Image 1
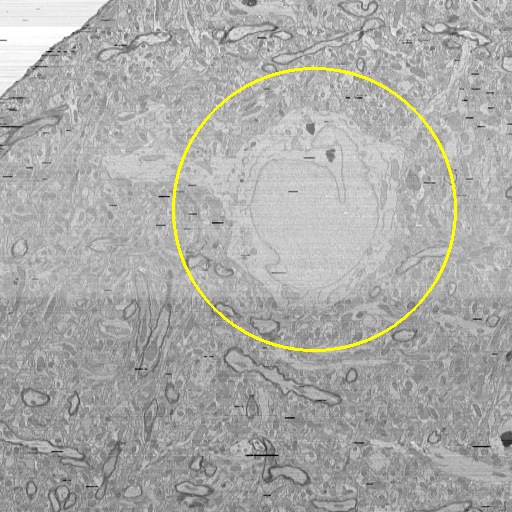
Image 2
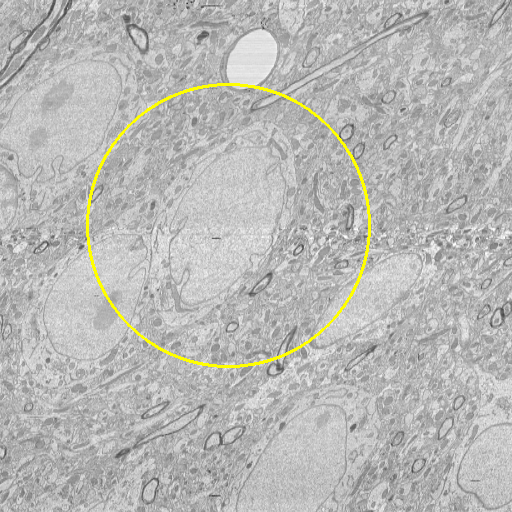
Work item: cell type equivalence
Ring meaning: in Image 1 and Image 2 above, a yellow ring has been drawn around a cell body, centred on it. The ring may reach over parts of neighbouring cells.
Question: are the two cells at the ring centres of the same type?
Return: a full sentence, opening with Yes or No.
No, the two centred cells are of two types.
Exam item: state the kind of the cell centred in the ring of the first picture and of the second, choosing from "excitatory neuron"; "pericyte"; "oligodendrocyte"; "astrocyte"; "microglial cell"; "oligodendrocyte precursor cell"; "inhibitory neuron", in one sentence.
The first picture shows an excitatory neuron at the ring centre and the second shows an inhibitory neuron.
